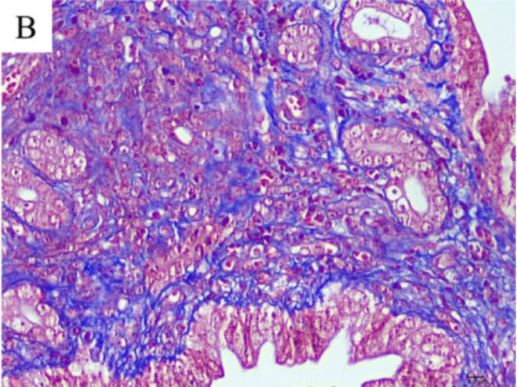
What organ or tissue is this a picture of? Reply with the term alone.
Uteruses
